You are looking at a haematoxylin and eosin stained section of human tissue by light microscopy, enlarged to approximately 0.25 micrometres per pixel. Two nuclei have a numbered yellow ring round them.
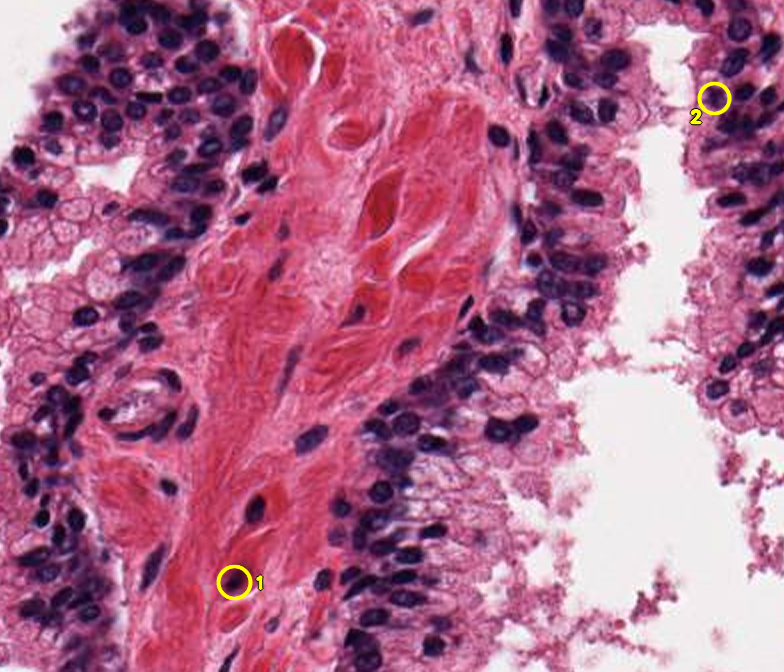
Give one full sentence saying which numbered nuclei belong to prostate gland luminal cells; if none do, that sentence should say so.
Nucleus 2 and no other numbered nucleus belongs to a prostate gland luminal cell.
